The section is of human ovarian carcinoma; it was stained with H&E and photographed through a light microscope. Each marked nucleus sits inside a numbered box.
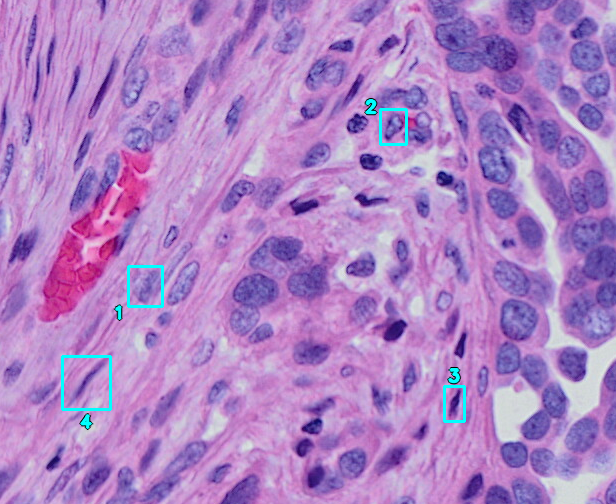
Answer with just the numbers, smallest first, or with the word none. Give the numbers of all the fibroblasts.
1, 3, 4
